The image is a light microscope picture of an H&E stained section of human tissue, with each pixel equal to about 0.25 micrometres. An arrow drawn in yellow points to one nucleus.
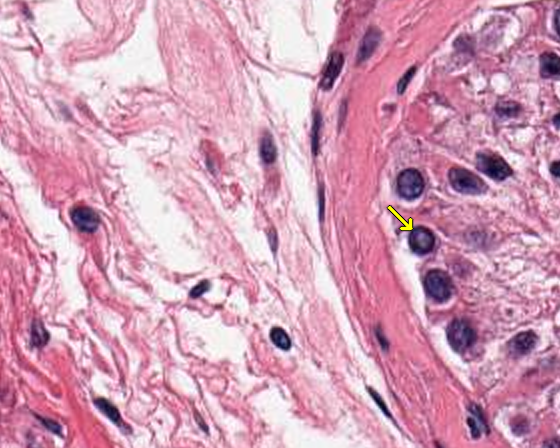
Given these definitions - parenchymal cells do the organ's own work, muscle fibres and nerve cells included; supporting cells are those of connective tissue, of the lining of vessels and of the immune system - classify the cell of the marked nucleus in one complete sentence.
The owner of the marked nucleus is a parenchymal cell, namely a spermatogonium.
